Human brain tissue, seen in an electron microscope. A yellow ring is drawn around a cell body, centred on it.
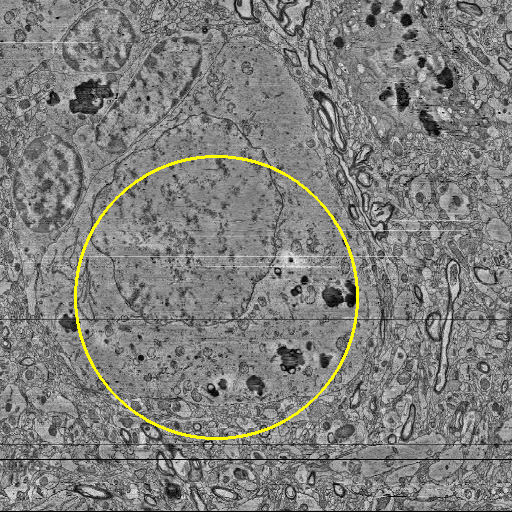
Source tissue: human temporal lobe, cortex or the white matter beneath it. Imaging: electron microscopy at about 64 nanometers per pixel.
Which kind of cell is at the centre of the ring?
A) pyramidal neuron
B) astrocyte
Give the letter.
A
